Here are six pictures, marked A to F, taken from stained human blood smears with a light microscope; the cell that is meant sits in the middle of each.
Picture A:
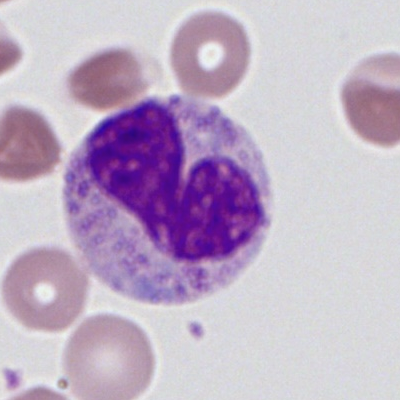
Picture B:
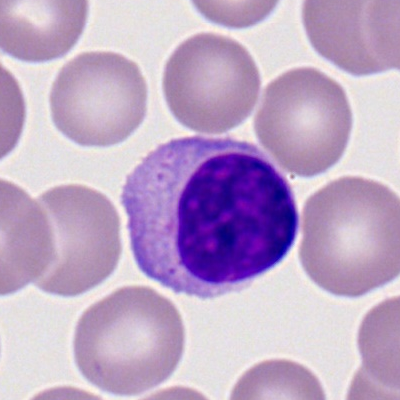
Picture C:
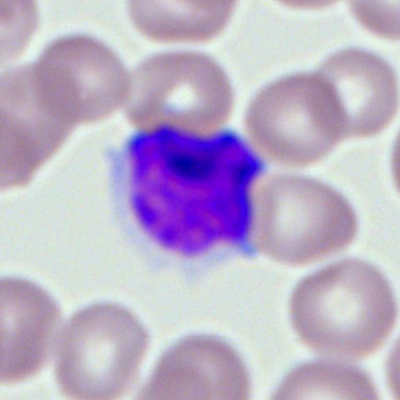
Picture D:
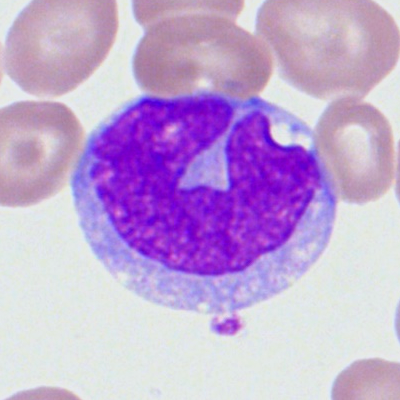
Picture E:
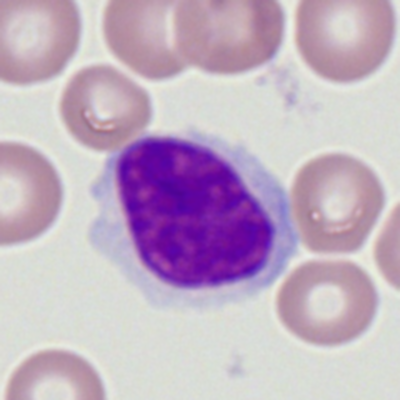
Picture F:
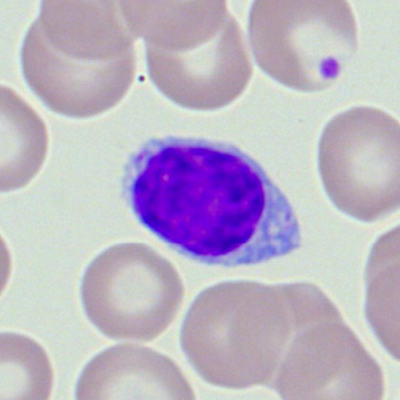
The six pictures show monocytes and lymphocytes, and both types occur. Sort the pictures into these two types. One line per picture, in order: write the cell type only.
monocyte
lymphocyte
lymphocyte
monocyte
lymphocyte
lymphocyte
